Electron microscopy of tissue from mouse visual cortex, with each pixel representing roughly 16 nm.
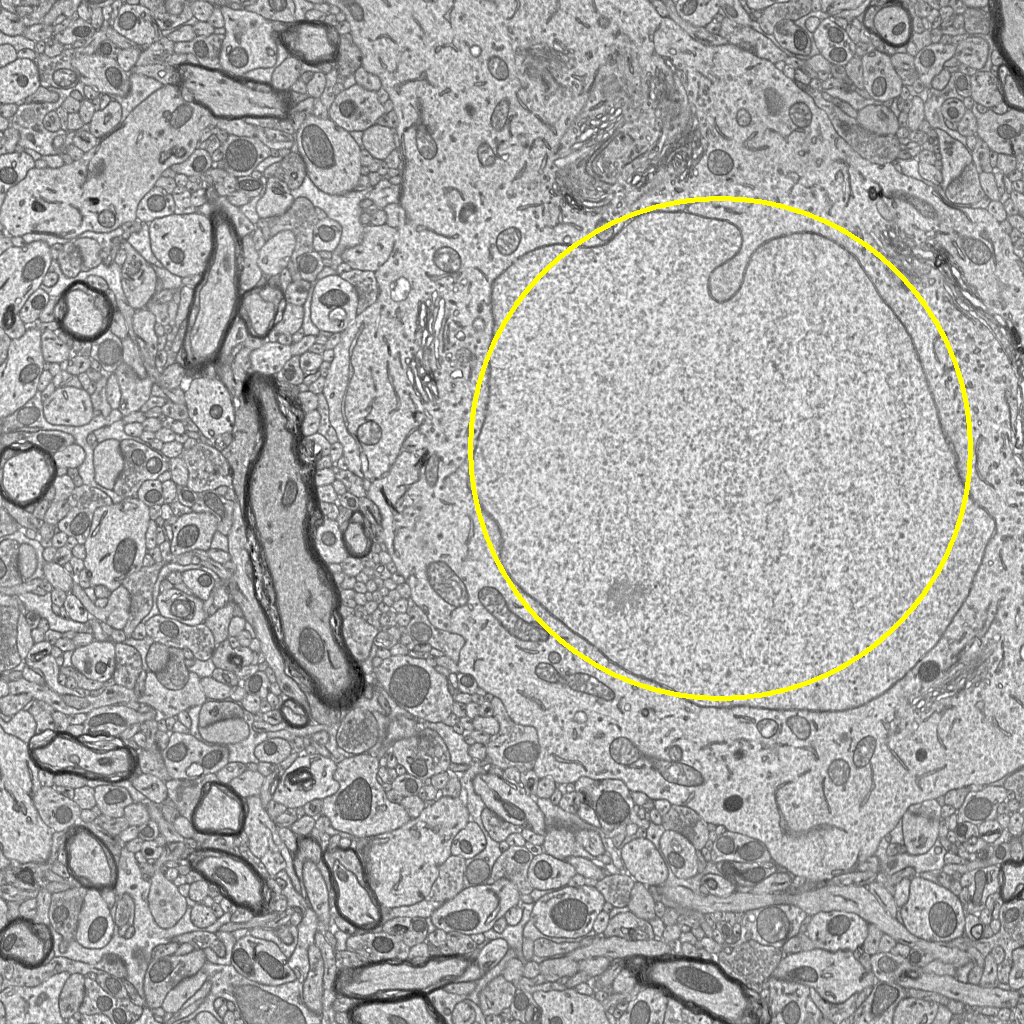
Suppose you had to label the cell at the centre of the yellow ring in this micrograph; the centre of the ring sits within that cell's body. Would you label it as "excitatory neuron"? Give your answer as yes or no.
Yes, I would label it that way.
